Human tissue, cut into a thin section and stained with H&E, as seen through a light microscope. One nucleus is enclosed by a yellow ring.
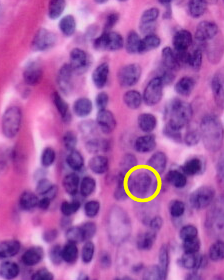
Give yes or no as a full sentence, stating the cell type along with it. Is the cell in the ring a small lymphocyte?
No, rather than being a small lymphocyte, the cell in the ring is an endothelial cell.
